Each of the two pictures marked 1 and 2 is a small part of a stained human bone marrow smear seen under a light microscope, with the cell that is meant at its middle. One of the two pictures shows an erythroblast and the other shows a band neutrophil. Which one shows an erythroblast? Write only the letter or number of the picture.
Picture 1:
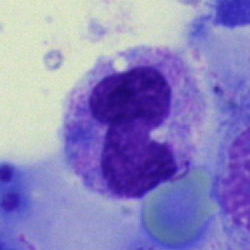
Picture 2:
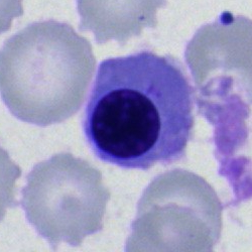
2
